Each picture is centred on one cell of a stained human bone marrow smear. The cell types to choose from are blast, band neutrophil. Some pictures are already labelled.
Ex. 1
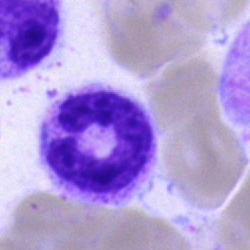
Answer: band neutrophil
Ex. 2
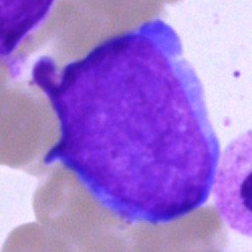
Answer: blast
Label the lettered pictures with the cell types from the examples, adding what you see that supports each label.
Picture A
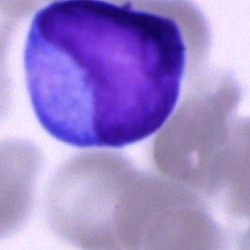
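blast. Reason: The nucleus fills most of the cell, taking up its upper and right part.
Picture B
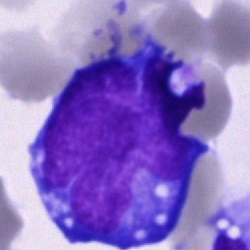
blast. Reason: The purple chromatin is fine and fairly evenly spread rather than coarsely clumped.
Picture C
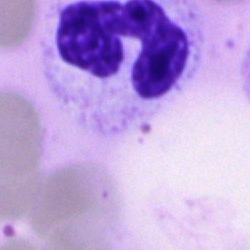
band neutrophil. Reason: The cytoplasm is plentiful and pale pinkish-lilac.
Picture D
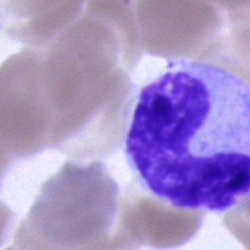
band neutrophil. Reason: The nucleus is bent into a C shape whose hollow opens to the right.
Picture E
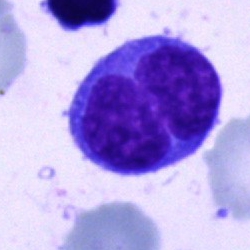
blast. Reason: The nucleus fills most of the cell, leaving a narrow rim of cytoplasm.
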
